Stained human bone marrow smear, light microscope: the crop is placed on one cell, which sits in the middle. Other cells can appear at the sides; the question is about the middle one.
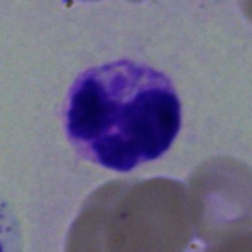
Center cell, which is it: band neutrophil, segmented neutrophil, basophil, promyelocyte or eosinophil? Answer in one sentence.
Classified as a basophil is the cell in the middle of this crop.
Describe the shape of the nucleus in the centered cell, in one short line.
The nucleus is segmented, with two or more lobes present.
